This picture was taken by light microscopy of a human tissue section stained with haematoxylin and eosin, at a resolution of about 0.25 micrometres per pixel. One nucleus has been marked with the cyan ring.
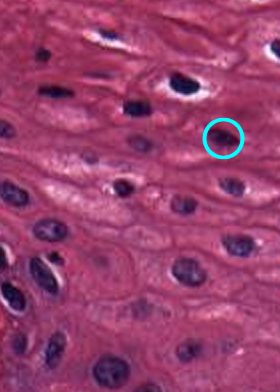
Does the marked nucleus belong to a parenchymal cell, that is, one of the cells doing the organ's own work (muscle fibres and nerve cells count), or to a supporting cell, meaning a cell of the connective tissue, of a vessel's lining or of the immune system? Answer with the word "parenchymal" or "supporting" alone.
parenchymal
